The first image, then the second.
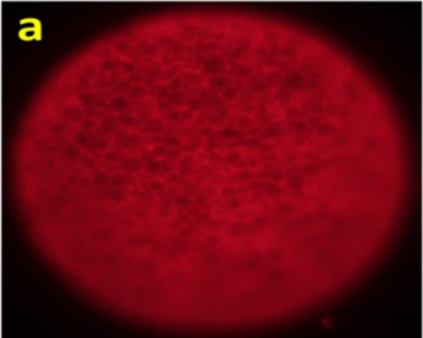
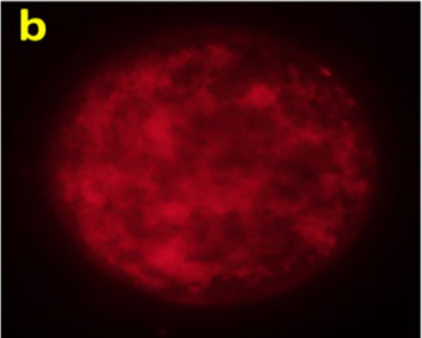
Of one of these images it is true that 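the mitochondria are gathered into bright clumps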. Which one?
the second image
